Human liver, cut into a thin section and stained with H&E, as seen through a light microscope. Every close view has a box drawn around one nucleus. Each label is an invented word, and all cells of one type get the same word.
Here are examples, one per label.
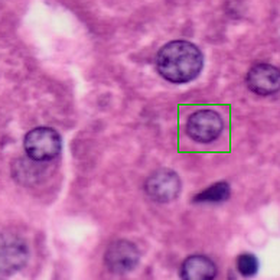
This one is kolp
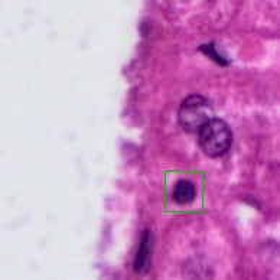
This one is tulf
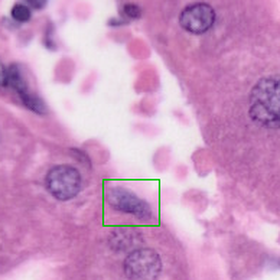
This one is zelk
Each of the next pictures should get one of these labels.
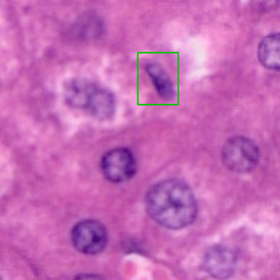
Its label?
zelk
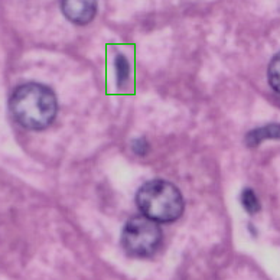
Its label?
tulf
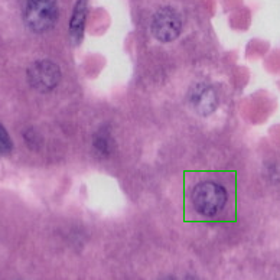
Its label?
kolp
